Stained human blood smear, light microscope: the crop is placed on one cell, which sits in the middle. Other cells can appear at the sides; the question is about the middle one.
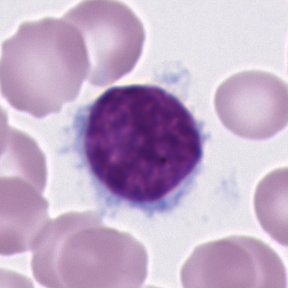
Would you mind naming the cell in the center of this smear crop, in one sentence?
Looking at the middle of the crop, the cell there is a hairy cell.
